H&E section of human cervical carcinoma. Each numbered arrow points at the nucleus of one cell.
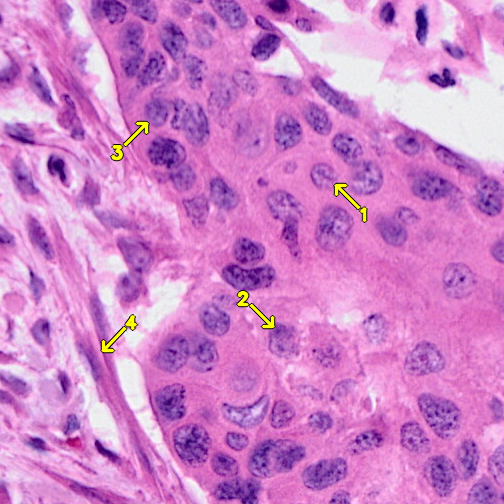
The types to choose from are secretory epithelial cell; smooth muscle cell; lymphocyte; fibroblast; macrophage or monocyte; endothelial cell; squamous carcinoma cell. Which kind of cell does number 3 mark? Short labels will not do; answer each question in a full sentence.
The cell pointed out by number 3 is a squamous carcinoma cell.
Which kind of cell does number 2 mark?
The cell that goes by number 2 is a squamous carcinoma cell.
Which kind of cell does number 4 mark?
What the number 4 marks in this field is a fibroblast.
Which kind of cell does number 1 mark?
The nucleus marked 1 is the nucleus of a squamous carcinoma cell.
